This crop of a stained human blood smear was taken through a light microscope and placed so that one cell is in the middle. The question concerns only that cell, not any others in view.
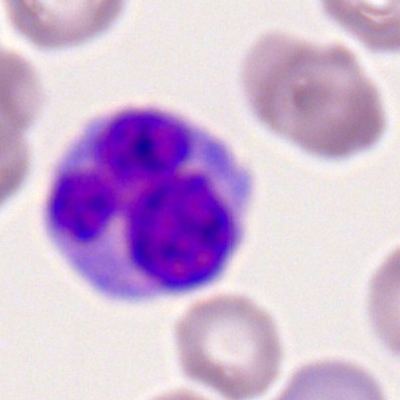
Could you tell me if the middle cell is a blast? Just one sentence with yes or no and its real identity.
No, the middle of this crop is occupied by a monocyte rather than a blast.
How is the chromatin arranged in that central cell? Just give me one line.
This nucleus has coarsely clumped chromatin.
